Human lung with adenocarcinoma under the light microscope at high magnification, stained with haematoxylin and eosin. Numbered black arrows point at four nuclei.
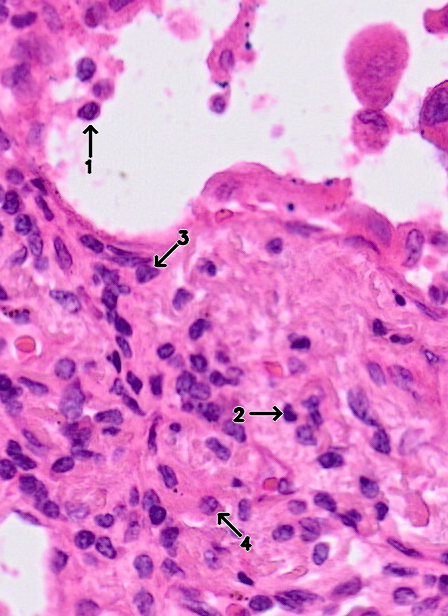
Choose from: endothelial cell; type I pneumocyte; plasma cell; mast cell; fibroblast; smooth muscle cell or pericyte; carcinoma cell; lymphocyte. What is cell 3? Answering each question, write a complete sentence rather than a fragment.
The identity of cell 3 is that of a lymphocyte.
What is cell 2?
The cell that is numbered 2 is a lymphocyte.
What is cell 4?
Here the cell numbered 4 is a mast cell.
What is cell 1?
The mark numbered 1 indicates the nucleus of a lymphocyte.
